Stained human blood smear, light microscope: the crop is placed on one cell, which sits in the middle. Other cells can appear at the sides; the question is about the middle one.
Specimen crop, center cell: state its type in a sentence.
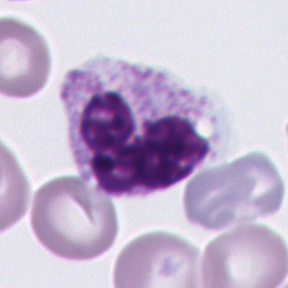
Framed in the middle of the crop is a neutrophil.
